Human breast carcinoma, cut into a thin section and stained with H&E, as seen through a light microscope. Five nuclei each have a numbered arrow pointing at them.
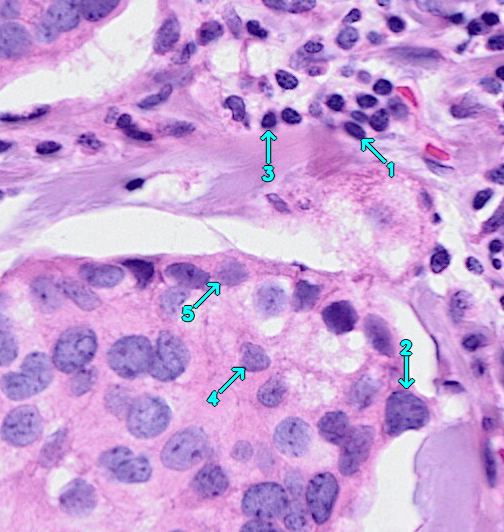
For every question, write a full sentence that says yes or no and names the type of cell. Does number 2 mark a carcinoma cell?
Yes, exactly, the cell numbered 2 is a carcinoma cell.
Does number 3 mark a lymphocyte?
Yes, the cell tagged with number 3 is a lymphocyte.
